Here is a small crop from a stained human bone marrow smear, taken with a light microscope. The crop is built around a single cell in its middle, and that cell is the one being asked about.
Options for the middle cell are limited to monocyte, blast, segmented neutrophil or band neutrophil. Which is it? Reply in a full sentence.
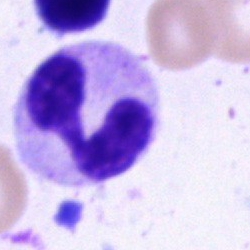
The identification for the central cell is a segmented neutrophil.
